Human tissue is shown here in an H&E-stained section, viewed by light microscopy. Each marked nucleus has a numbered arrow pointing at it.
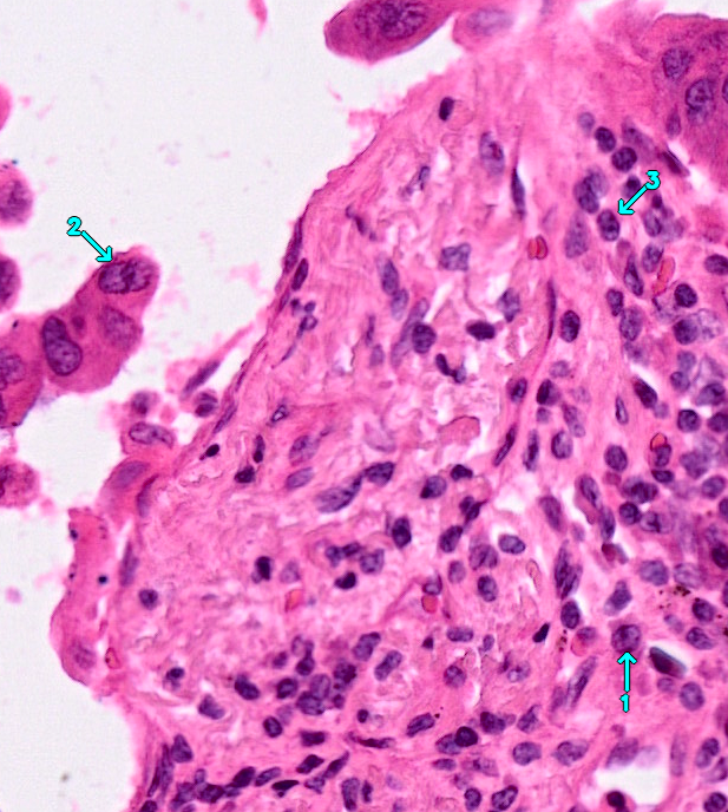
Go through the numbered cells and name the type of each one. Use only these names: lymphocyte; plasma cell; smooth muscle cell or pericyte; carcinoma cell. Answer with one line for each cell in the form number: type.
1: plasma cell
2: carcinoma cell
3: lymphocyte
